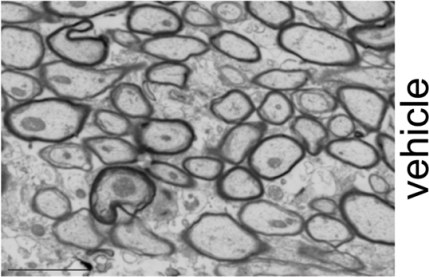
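The axons are densely packed, round to oval or somewhat angular in outline, and vary in diameter. Nearly every axon is wrapped by a dark, compact myelin sheath that appears as a thick black ring. The axoplasm inside is pale grey and contains occasional small darker organelles. In places a sheath shows an extra loop or fold of myelin, and the narrow spaces between axons are filled with pale grey material.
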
